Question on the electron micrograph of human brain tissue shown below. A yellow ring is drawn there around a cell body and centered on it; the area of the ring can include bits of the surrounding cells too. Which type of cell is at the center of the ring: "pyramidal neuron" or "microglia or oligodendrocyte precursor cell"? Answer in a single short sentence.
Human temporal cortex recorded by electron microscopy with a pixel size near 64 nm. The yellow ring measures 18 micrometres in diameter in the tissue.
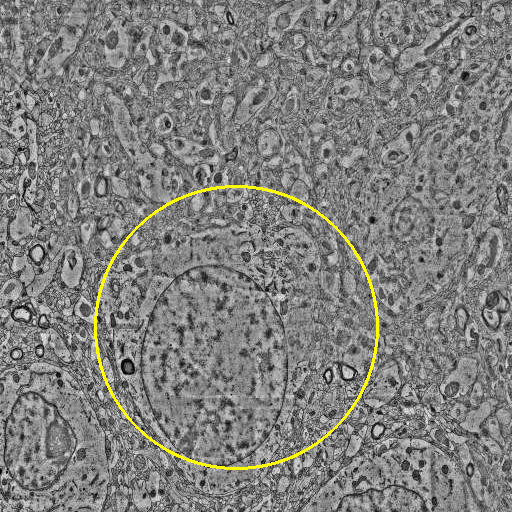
The ring is centered on a pyramidal neuron.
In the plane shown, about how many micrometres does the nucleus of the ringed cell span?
In this plane, the nucleus is roughly 13 by 10 micrometres.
